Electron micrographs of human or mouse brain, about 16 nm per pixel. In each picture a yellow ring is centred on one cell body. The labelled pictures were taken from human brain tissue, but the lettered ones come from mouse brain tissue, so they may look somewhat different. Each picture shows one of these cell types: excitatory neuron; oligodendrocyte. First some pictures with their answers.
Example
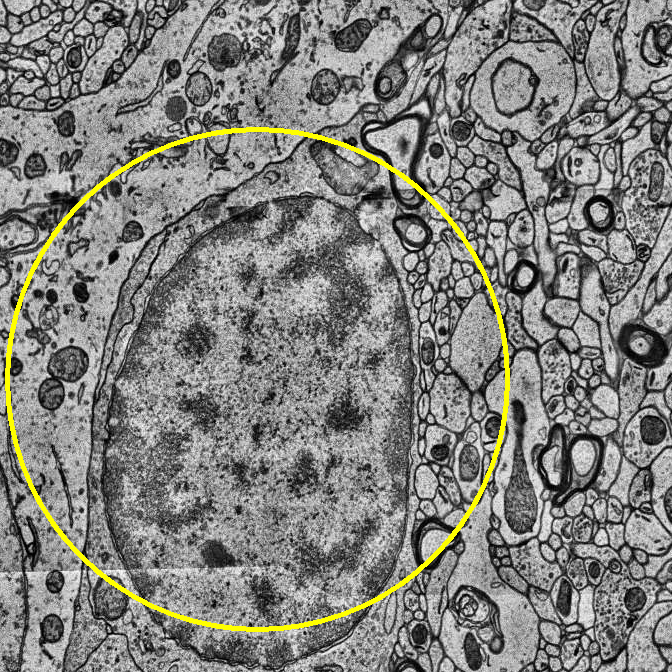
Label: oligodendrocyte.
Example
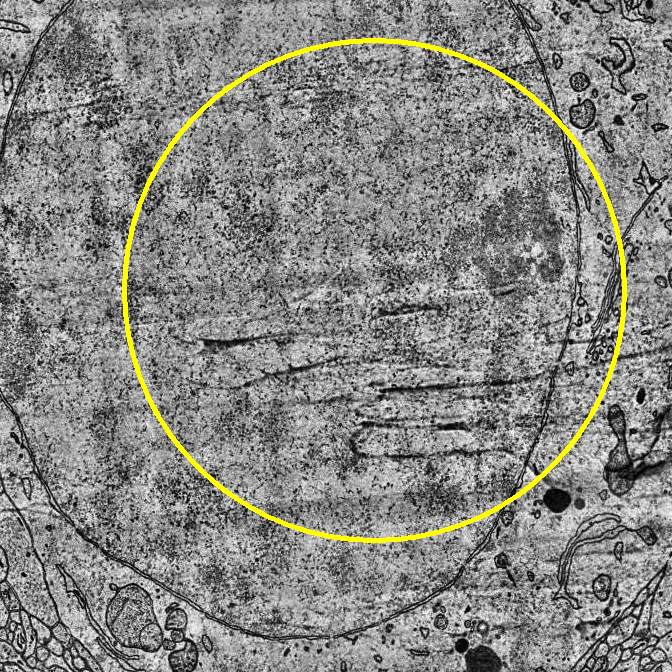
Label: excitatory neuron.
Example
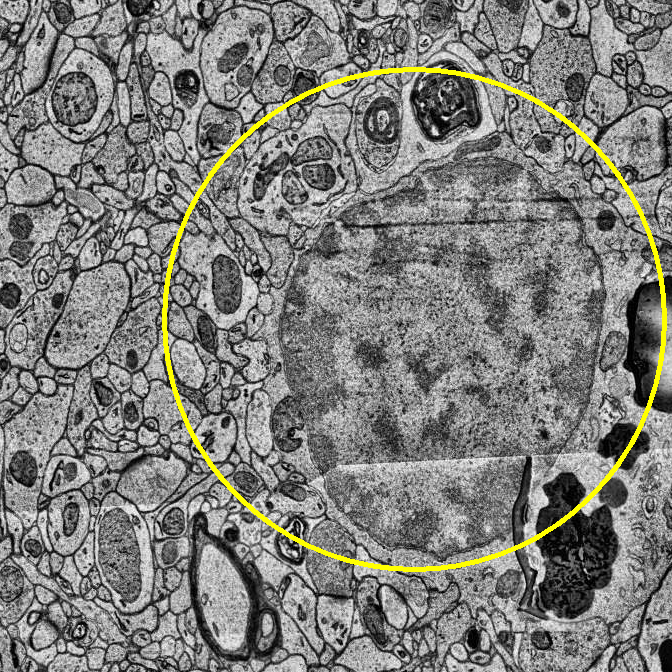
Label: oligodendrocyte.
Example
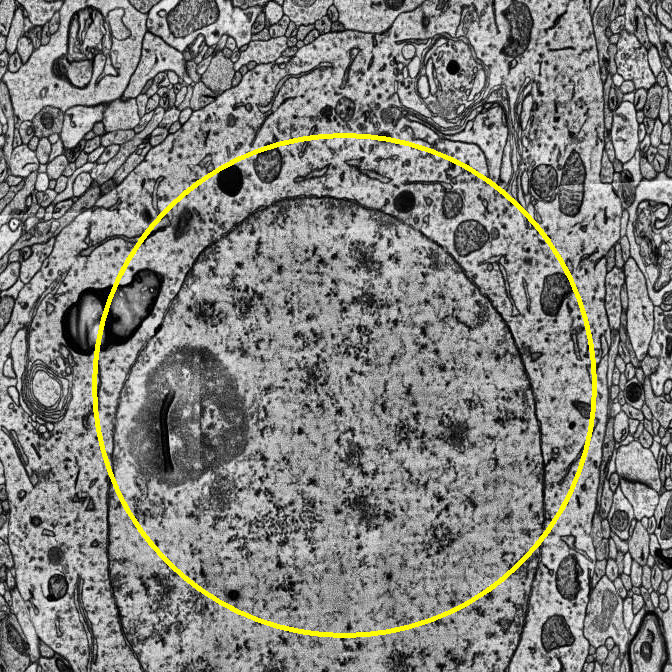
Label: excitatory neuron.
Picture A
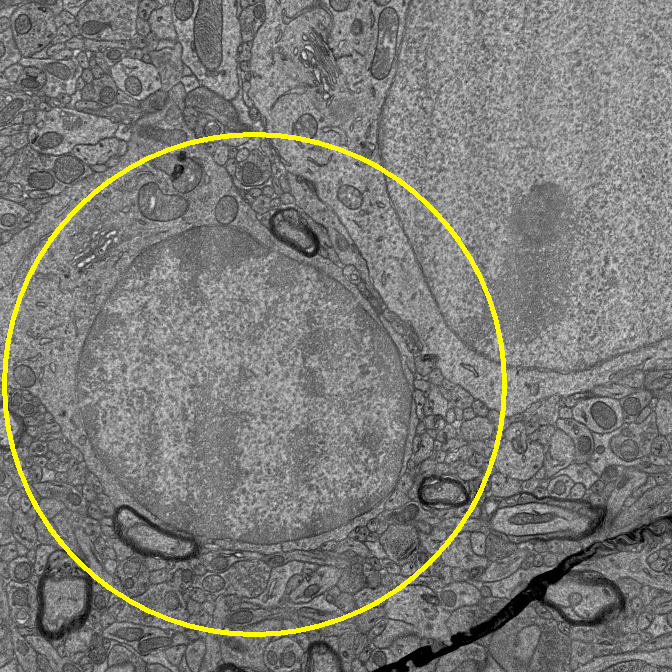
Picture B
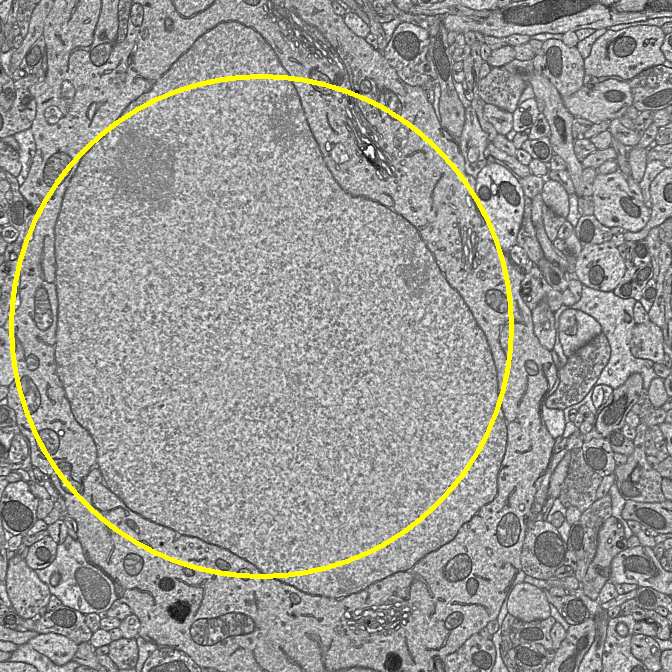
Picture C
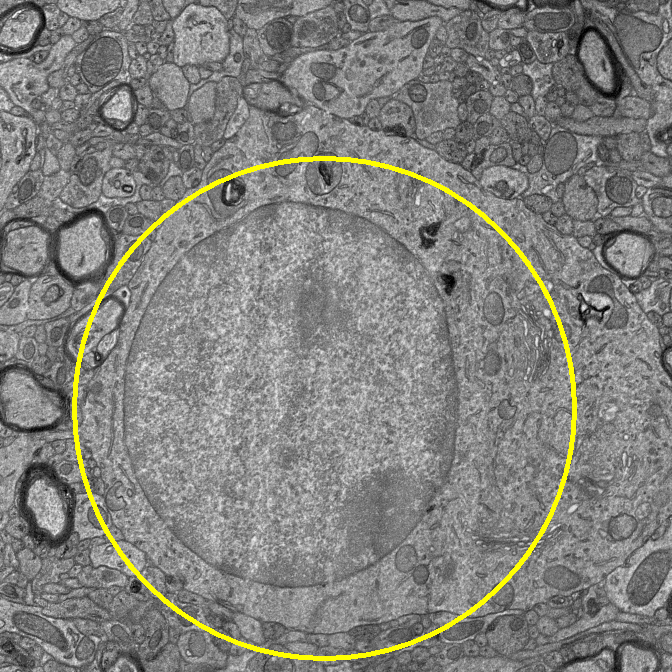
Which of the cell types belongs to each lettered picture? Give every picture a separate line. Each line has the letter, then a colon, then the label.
A: oligodendrocyte.
B: excitatory neuron.
C: oligodendrocyte.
